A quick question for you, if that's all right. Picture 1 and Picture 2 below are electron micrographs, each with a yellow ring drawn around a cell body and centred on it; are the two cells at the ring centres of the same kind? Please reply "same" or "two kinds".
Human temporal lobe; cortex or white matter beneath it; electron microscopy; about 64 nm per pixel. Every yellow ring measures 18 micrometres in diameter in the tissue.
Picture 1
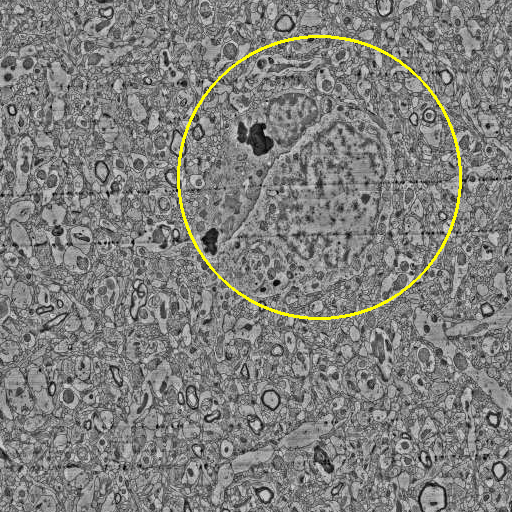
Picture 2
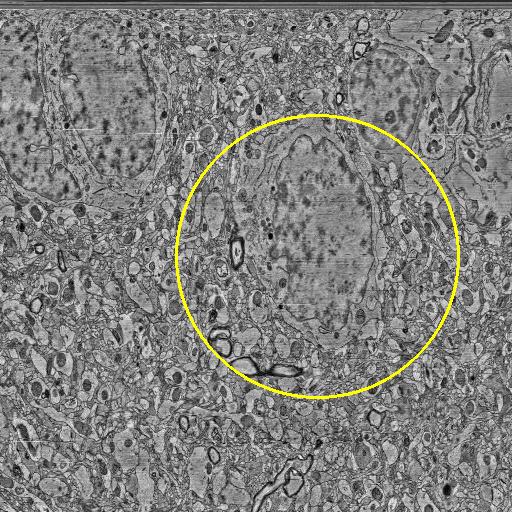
same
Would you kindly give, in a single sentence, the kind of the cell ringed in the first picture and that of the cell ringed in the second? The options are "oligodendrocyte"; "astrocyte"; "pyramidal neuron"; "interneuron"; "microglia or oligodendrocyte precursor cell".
Each of the two cells is an interneuron.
